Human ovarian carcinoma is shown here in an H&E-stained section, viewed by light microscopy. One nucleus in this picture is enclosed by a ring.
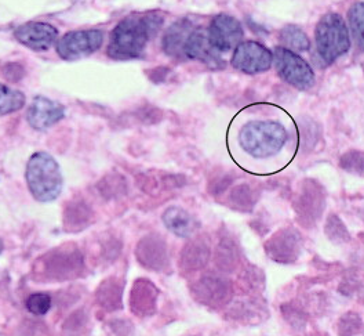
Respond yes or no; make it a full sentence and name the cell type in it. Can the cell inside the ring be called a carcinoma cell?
No, sorry, but the cell inside the ring is a macrophage or monocyte and not a carcinoma cell.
